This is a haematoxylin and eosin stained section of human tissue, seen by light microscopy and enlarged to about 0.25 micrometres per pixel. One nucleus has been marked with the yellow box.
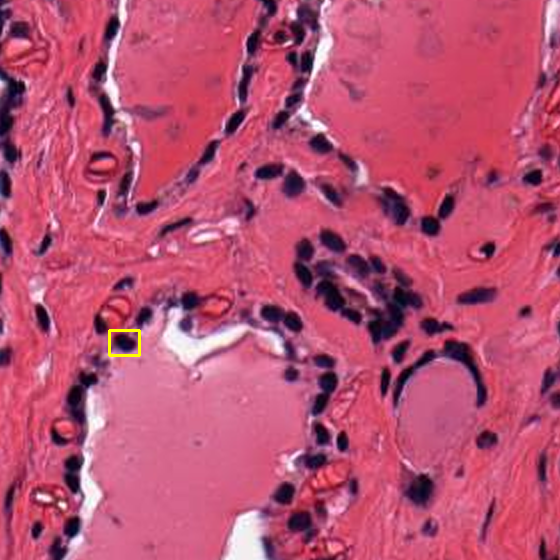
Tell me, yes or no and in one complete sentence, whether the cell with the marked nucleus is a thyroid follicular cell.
Yes, the marked nucleus belongs to a thyroid follicular cell in this image.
